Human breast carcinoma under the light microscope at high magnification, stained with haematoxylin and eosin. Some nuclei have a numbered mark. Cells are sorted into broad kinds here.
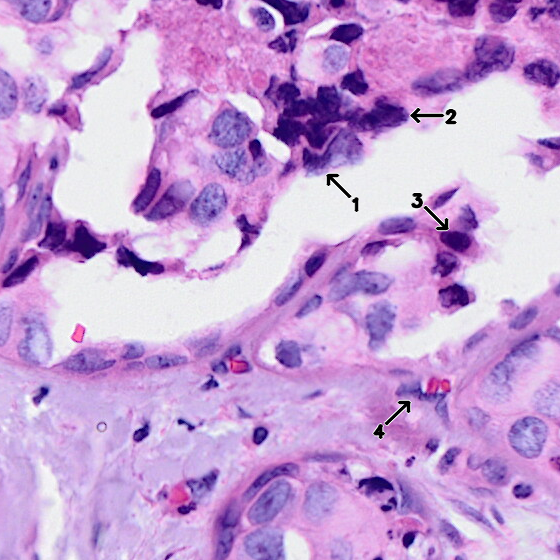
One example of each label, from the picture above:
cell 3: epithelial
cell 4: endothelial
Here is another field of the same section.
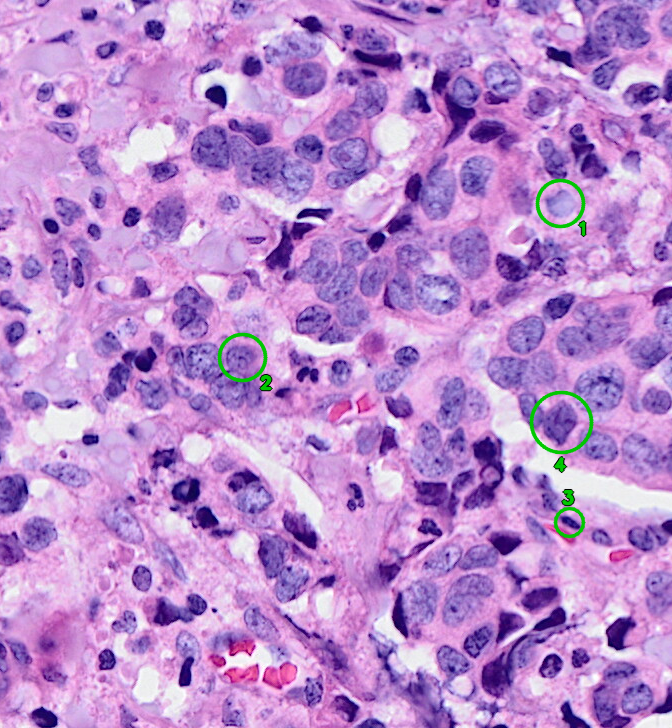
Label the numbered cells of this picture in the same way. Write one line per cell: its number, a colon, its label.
1: epithelial
2: epithelial
3: endothelial
4: epithelial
